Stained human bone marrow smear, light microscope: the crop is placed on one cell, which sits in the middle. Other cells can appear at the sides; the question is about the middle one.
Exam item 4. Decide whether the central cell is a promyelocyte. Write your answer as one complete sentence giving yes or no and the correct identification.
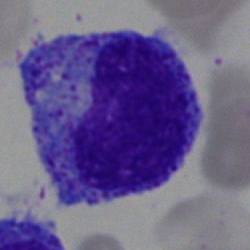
Yes, the centrally placed cell is a promyelocyte.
